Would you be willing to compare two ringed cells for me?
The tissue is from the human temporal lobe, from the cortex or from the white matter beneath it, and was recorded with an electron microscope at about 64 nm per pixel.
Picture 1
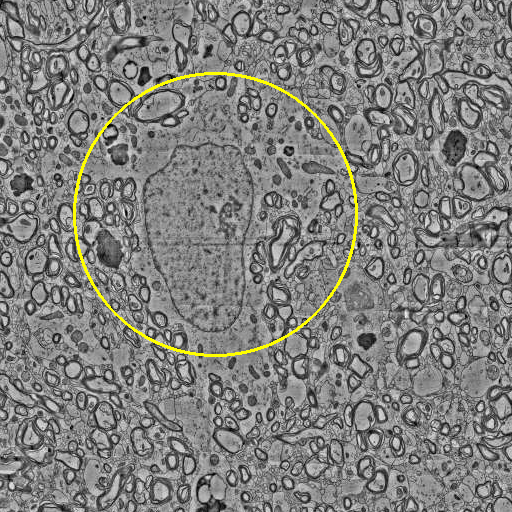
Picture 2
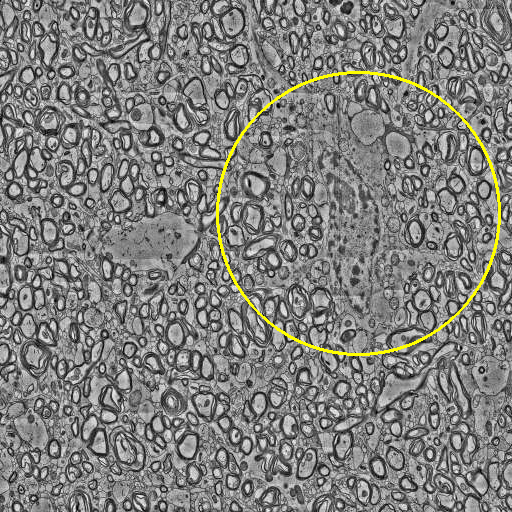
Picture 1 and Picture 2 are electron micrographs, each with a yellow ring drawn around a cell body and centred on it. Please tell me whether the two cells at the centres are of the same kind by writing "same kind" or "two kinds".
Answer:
same kind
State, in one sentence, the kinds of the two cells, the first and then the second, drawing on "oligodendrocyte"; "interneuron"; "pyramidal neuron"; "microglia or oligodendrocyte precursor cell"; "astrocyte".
Each cell, in the first picture and the second, is an astrocyte.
